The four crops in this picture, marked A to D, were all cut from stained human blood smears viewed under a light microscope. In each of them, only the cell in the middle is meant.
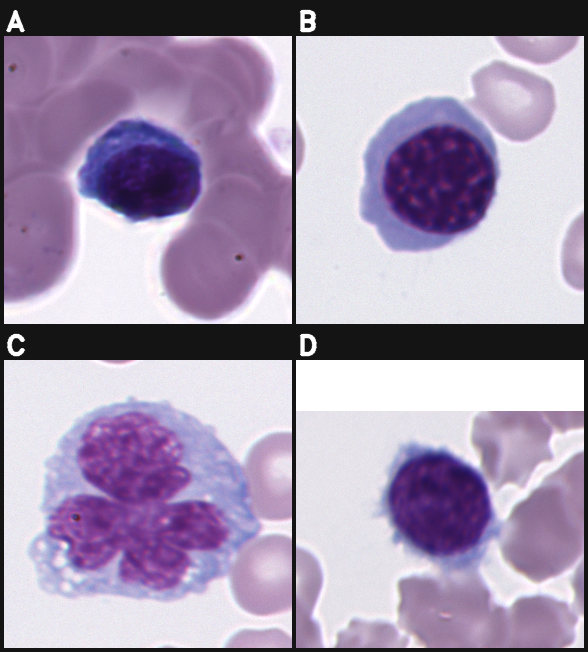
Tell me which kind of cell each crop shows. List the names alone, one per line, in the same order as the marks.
plasma cell
normoblast
monocyte
hairy cell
